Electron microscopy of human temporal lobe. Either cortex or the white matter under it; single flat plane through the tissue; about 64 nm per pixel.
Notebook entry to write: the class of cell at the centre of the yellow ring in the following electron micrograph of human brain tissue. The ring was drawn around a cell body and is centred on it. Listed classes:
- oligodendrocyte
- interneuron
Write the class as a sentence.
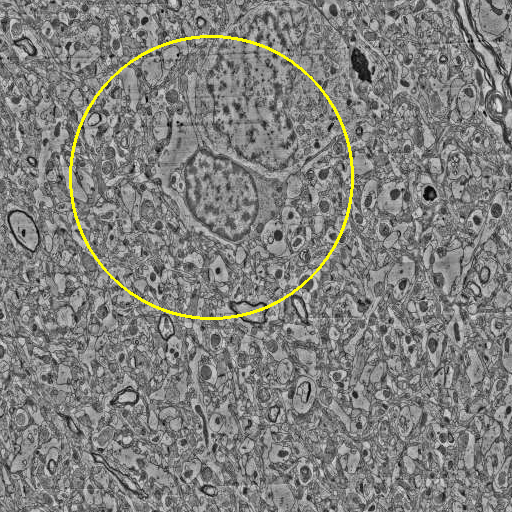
The yellow ring sits on an oligodendrocyte.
